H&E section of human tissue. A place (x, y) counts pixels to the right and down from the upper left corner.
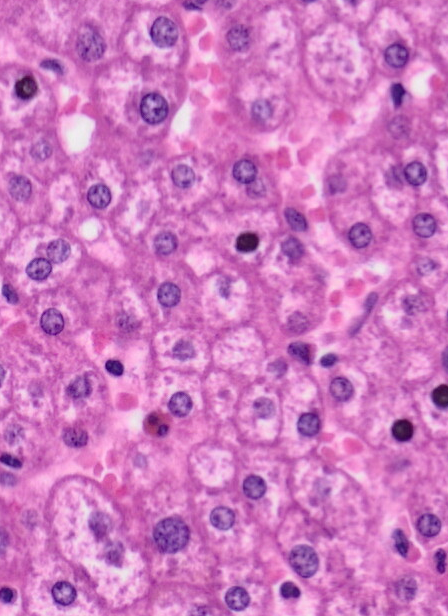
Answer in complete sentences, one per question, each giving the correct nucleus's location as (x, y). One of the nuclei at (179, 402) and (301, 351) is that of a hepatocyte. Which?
The nucleus at (179, 402) is housed in a hepatocyte.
